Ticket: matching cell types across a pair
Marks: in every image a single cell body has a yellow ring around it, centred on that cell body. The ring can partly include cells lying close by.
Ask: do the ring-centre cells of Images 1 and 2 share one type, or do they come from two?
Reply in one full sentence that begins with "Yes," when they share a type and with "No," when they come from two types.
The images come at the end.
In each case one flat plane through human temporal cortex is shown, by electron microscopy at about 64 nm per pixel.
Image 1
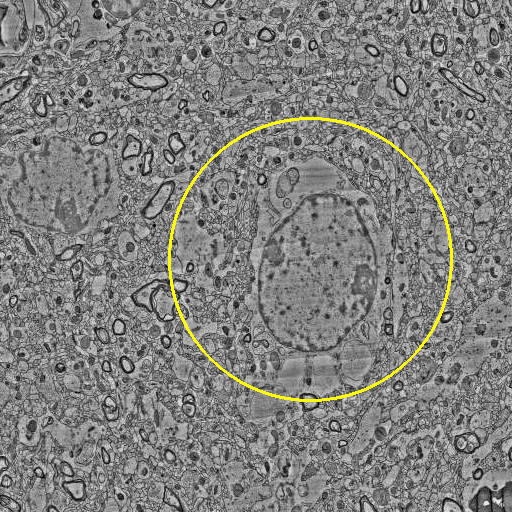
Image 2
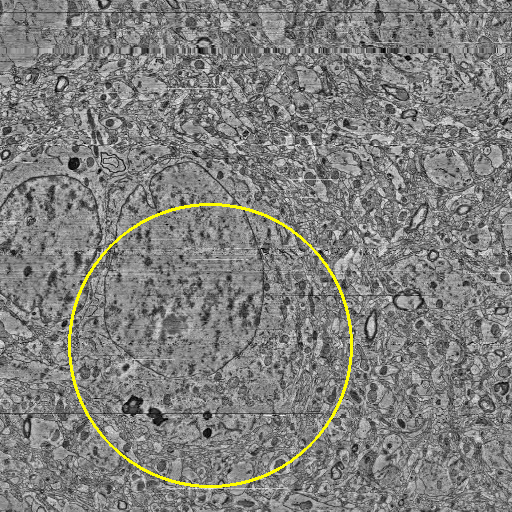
No, the cells in the centres of the rings in Image 1 and Image 2 come from two types.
